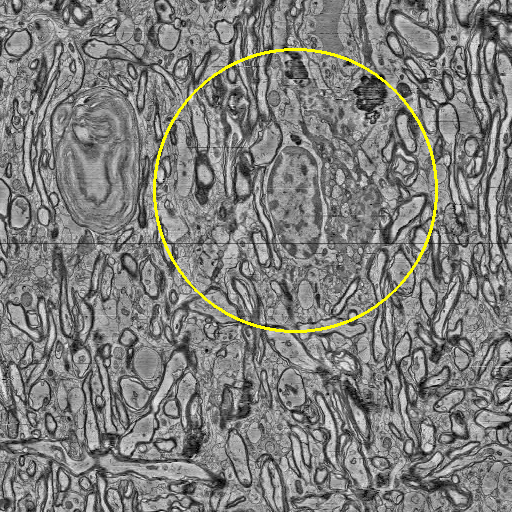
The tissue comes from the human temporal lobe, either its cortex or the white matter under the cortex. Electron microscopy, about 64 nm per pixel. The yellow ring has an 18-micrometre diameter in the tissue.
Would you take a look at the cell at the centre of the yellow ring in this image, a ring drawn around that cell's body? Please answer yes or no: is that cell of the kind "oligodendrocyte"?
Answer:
no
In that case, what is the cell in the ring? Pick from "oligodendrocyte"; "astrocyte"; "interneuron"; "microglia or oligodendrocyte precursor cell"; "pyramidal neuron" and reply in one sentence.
The cell this ring marks is a microglial cell or oligodendrocyte precursor cell.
